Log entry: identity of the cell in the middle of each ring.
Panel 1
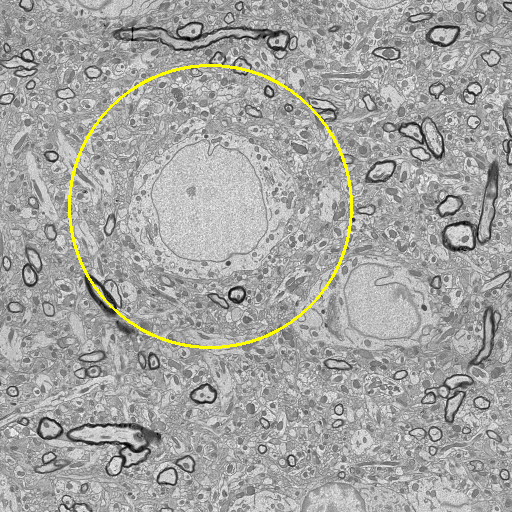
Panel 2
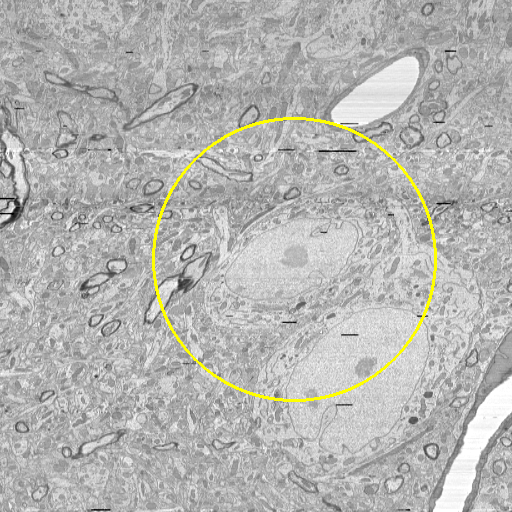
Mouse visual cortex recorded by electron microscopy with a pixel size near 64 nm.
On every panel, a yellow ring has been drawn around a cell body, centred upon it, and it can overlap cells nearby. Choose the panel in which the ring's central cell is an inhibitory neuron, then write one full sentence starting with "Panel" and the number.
Panel 2 shows the requested cell sitting in the middle of its ring.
